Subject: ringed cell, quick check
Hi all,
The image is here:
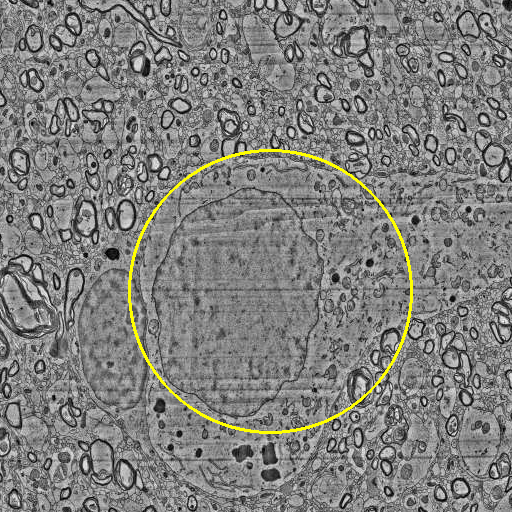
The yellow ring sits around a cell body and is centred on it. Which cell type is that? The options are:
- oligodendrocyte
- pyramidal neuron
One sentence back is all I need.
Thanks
That ringed cell is a pyramidal neuron.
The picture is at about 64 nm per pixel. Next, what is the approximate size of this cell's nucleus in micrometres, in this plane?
The nucleus measures about 15 by 11 micrometres in this plane.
